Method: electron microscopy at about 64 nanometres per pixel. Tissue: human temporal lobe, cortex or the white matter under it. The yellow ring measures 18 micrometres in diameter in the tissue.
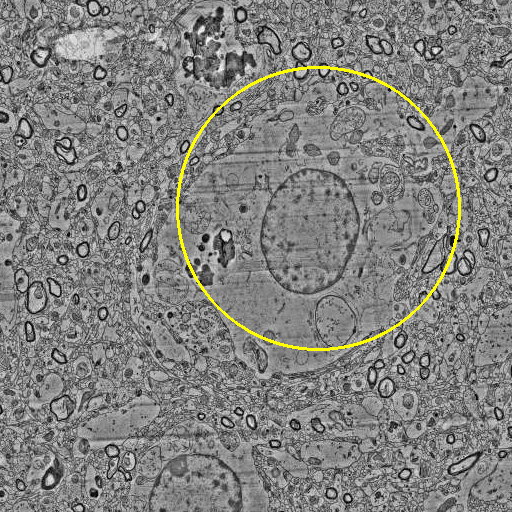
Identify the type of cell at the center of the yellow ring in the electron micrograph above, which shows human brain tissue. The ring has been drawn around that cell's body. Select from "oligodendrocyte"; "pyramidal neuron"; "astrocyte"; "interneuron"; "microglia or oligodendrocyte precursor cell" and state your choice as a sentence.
The yellow ring is centered on the body of an astrocyte.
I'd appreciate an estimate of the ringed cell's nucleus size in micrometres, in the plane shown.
The nucleus comes to roughly 8 by 6 micrometres in this plane.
